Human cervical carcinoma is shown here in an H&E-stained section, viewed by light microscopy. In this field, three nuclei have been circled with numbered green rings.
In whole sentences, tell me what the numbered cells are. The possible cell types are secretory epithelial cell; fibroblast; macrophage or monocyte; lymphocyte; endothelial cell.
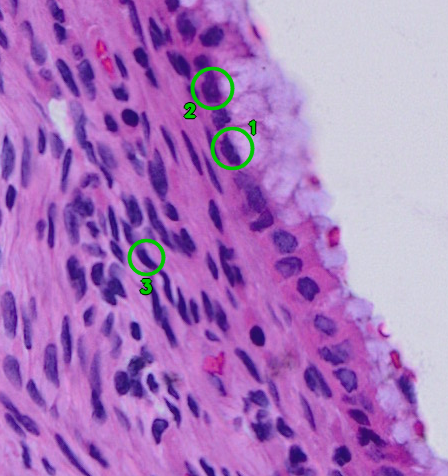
Cells 1 and 2 are secretory epithelial cells. Cell 3 is a fibroblast.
